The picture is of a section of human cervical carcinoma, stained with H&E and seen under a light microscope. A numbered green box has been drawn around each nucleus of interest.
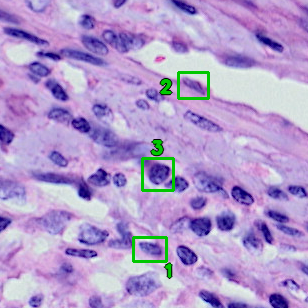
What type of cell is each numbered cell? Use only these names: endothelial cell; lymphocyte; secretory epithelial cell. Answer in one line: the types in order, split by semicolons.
lymphocyte; endothelial cell; lymphocyte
